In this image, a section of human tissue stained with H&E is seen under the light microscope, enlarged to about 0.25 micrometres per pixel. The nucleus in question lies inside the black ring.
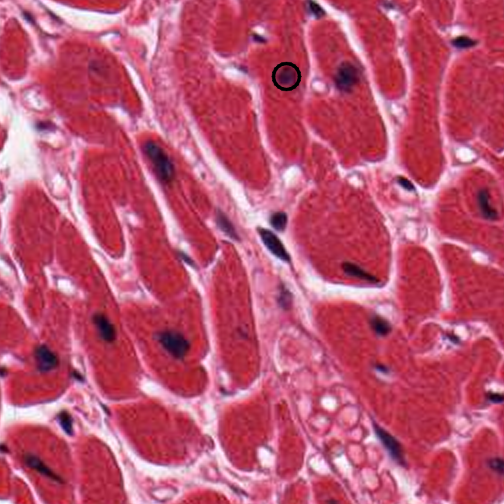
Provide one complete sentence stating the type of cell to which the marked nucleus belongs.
The nucleus that the mark indicates belongs to a cardiomyocyte.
